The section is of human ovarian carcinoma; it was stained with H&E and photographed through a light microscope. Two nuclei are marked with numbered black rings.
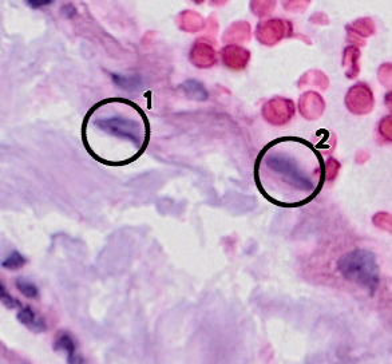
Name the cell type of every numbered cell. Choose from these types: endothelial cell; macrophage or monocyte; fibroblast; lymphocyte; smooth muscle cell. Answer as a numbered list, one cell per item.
1. fibroblast
2. endothelial cell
